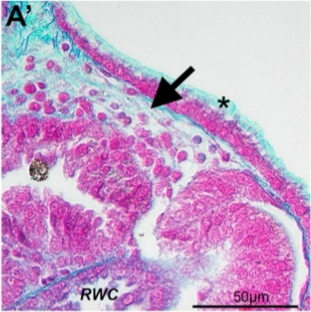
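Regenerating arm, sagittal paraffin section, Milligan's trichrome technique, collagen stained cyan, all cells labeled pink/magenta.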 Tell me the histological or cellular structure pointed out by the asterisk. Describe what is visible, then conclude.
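The asterisk lies at the outer surface of the section. A thin pale to cyan layer covers the outermost cell layer.
Hence: cuticle.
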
